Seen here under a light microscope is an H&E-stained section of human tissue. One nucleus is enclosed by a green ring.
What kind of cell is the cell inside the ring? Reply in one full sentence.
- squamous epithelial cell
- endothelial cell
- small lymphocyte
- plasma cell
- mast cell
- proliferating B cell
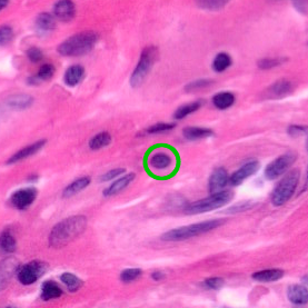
As for its identity, the cell inside the ring is a mast cell.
